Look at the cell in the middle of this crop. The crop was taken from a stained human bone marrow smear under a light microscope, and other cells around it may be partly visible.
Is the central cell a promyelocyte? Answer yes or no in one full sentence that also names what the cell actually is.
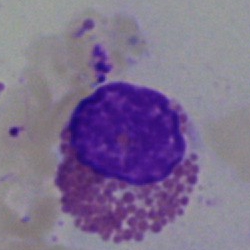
No, the central cell should be identified as an eosinophil, not as a promyelocyte.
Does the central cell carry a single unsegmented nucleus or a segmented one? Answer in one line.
Between us, the nucleus here is just one compact mass, round, oval or kidney-shaped.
